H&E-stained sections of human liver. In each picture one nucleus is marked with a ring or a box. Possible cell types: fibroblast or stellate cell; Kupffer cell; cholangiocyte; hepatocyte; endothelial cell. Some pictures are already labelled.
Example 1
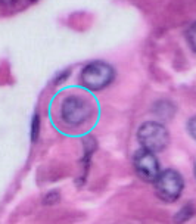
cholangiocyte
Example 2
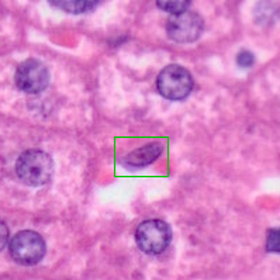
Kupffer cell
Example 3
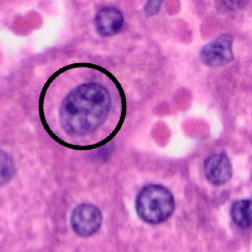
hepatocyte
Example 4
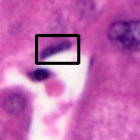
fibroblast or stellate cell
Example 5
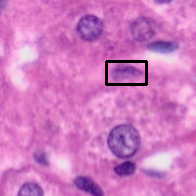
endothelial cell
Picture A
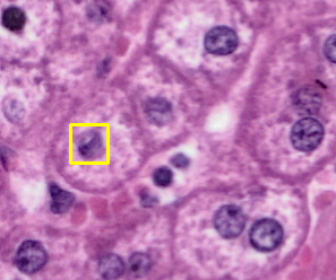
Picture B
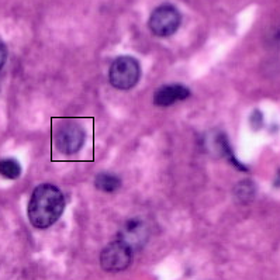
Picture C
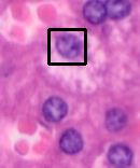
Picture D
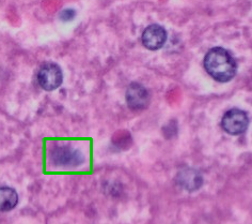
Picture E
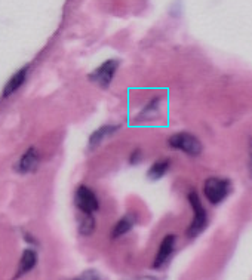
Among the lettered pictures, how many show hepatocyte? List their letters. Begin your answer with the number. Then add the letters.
3, namely A, B, C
